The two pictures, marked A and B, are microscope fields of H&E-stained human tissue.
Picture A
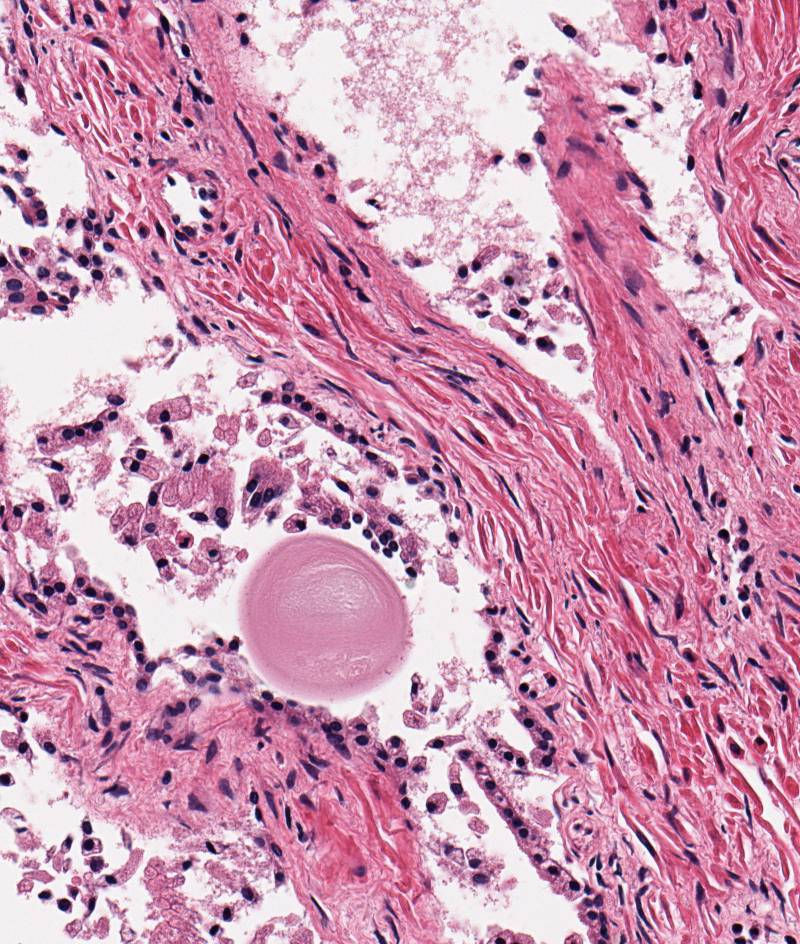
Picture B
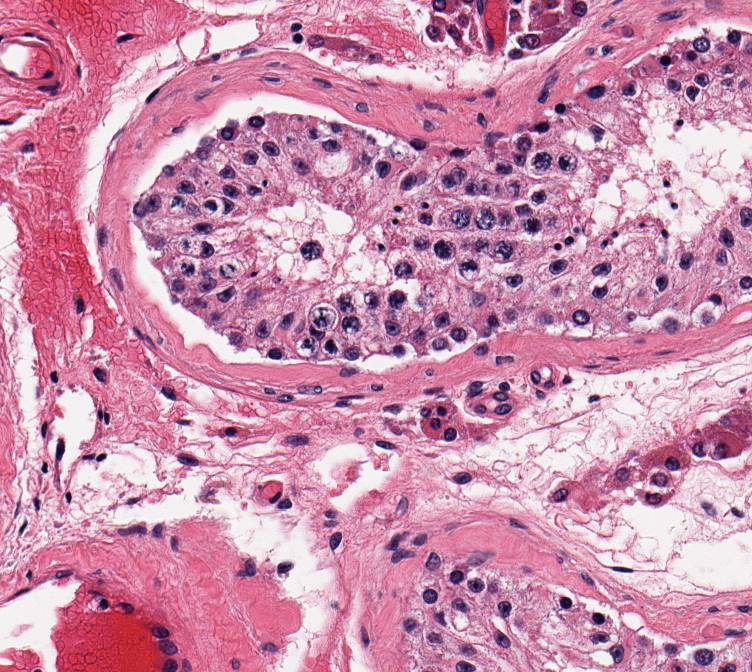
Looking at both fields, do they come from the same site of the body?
no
